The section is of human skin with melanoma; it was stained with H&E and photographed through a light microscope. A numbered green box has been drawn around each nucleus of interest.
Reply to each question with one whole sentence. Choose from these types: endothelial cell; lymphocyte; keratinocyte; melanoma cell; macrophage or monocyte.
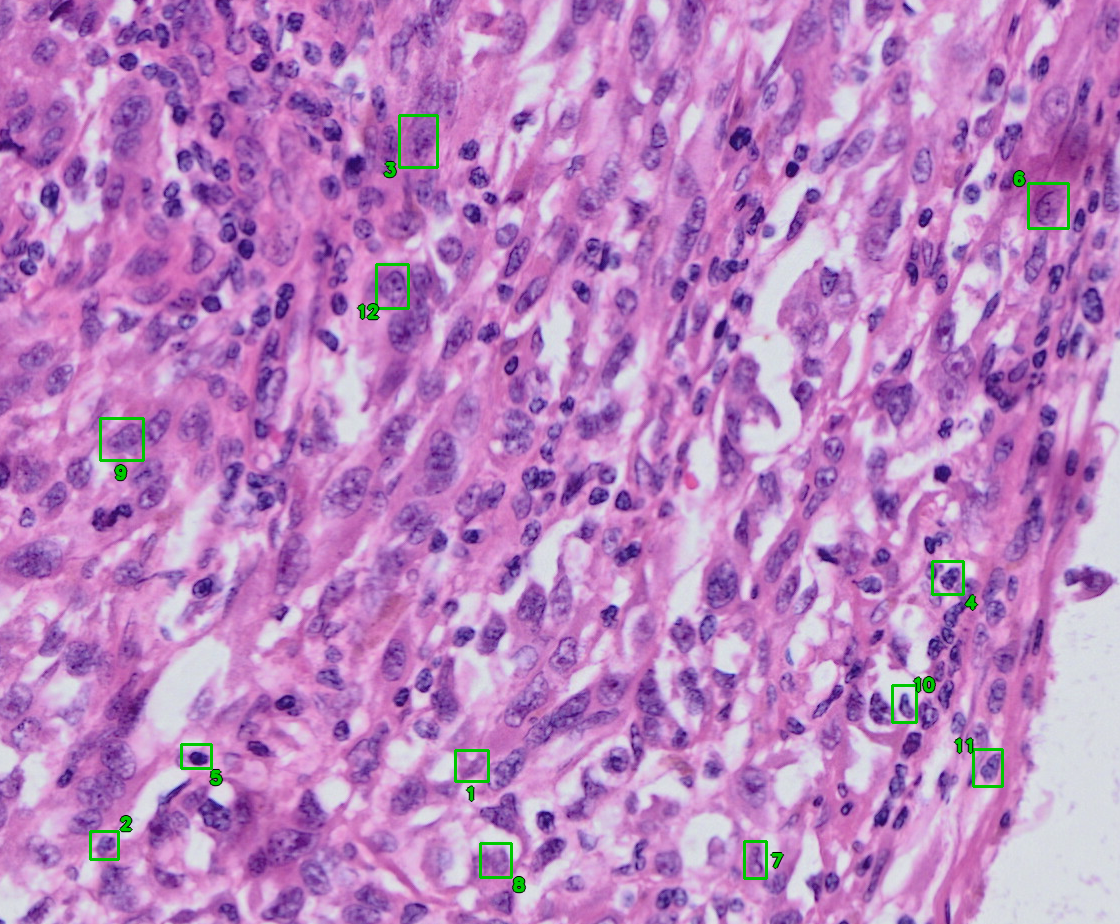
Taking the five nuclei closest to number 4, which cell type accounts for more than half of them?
Of the five nuclei nearest to number 4, most belong to macrophages or monocytes.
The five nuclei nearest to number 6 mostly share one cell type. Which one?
Lymphocytes account for more than half of the five nuclei nearest to number 6.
